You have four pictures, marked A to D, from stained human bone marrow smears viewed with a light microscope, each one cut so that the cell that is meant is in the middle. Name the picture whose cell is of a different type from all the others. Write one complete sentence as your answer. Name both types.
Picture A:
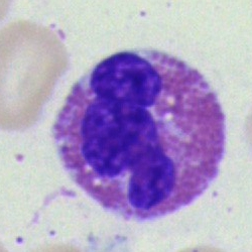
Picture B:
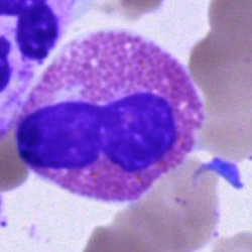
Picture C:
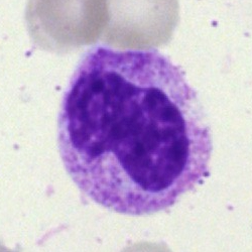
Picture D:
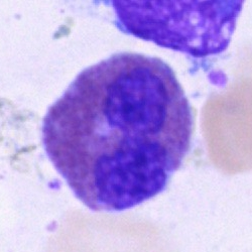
Picture C is the odd one out: it shows a band neutrophil, while the others show eosinophils.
